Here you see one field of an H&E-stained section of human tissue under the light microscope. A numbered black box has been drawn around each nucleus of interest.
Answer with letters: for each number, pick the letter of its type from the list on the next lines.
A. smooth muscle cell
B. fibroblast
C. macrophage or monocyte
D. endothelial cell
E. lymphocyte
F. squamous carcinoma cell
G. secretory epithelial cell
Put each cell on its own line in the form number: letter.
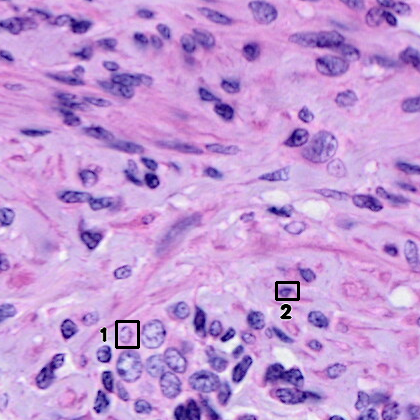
1: D
2: A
